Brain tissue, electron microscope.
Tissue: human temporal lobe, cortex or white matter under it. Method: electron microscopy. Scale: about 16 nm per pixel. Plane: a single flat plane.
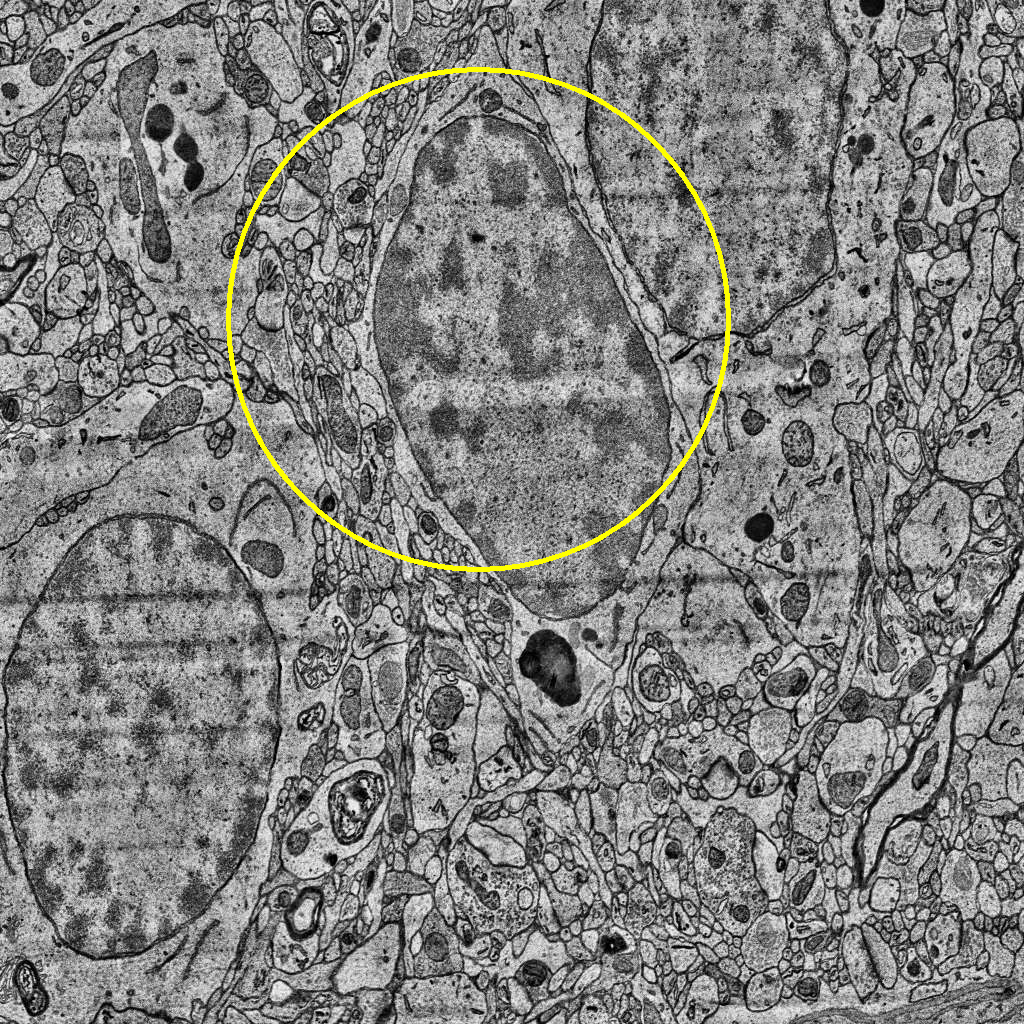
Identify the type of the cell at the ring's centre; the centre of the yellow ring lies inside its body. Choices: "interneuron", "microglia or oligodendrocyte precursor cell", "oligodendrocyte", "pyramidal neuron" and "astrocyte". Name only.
microglia or oligodendrocyte precursor cell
